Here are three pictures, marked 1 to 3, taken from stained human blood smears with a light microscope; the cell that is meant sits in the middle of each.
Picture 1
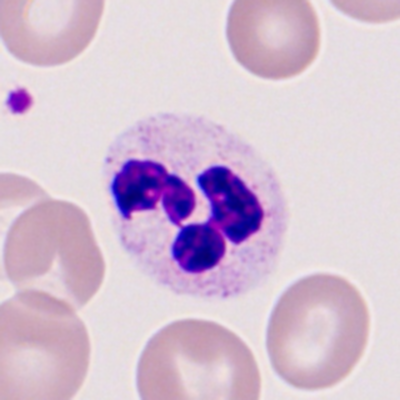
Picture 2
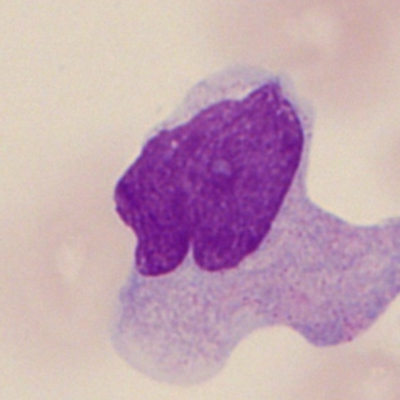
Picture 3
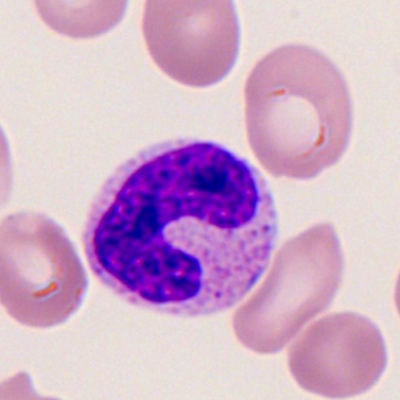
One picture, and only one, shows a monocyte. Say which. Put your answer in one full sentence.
The picture with the monocyte is 2.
